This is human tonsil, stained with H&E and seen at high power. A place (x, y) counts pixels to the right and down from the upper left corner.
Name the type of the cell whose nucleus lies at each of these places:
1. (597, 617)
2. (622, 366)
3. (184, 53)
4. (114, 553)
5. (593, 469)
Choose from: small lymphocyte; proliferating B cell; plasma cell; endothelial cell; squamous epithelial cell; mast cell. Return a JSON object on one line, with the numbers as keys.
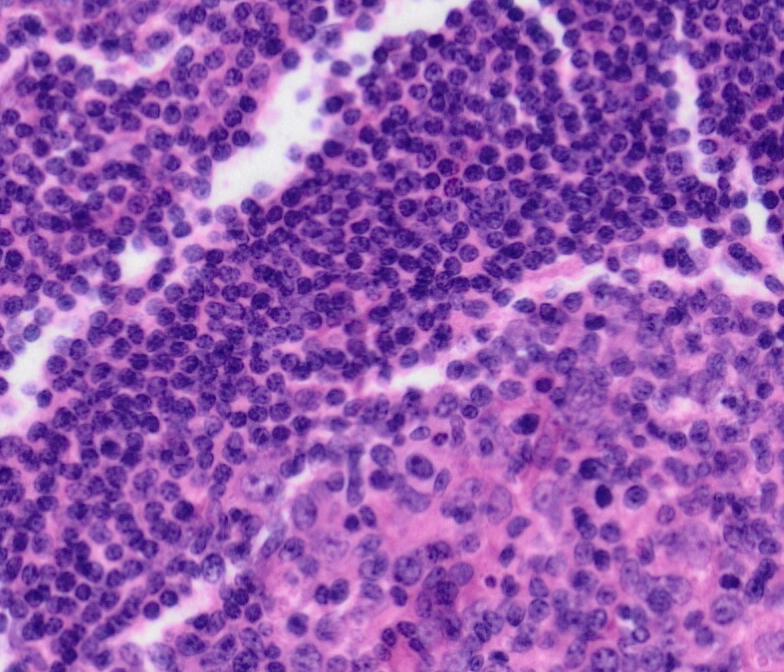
{"1": "proliferating B cell", "2": "proliferating B cell", "3": "small lymphocyte", "4": "small lymphocyte", "5": "proliferating B cell"}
